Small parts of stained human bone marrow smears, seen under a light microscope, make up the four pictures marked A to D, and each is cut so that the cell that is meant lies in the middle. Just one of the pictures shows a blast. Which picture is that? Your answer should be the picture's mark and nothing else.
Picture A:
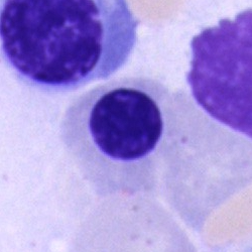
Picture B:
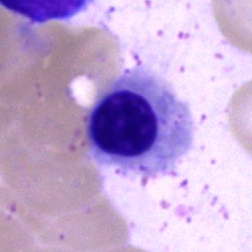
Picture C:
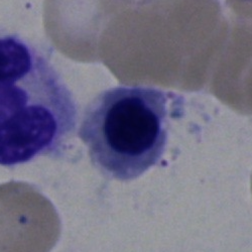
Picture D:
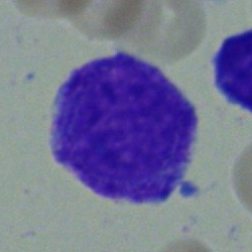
D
